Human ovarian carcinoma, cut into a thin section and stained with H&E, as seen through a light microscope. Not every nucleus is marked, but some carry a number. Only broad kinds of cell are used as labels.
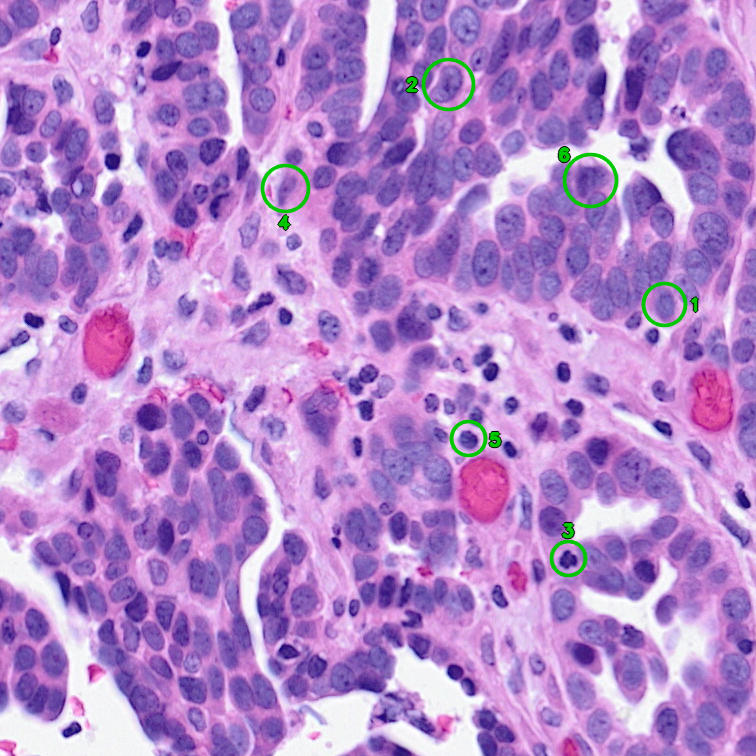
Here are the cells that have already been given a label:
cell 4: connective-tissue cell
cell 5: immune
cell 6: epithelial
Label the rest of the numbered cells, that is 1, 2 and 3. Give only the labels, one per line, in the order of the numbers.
epithelial
epithelial
immune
